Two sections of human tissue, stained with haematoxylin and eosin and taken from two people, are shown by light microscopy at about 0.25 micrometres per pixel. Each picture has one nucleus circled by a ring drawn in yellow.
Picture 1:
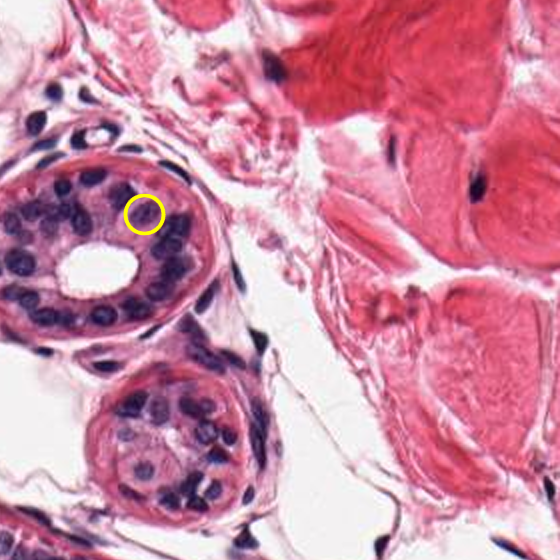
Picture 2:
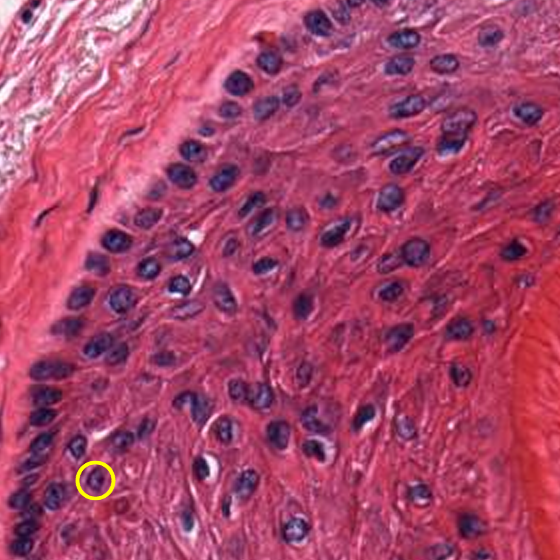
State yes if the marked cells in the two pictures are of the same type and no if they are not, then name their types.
No, the first is a sweat gland cell and the second a keratinocyte.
